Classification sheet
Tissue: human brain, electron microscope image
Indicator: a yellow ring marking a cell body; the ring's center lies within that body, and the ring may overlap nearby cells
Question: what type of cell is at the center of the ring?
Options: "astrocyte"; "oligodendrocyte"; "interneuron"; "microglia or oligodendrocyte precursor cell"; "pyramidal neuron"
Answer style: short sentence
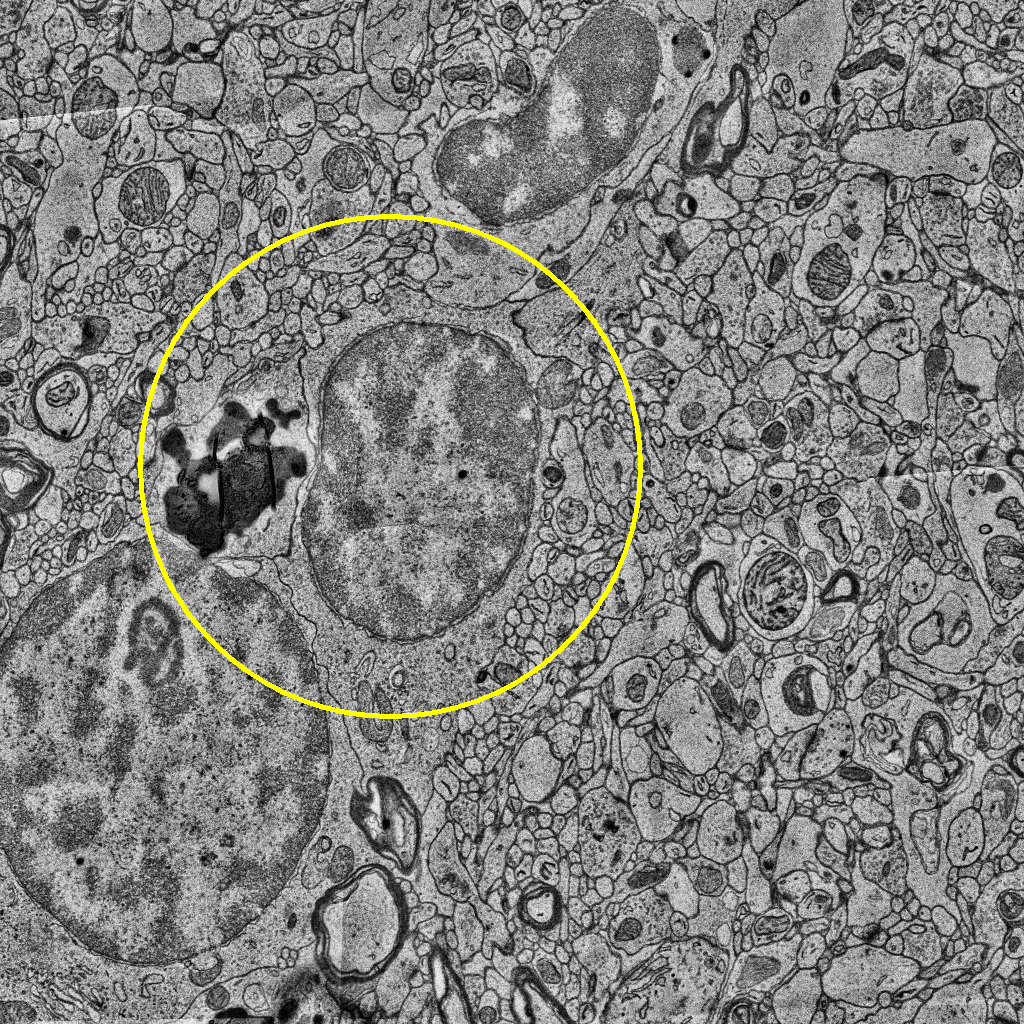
At the ring's center is an oligodendrocyte.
